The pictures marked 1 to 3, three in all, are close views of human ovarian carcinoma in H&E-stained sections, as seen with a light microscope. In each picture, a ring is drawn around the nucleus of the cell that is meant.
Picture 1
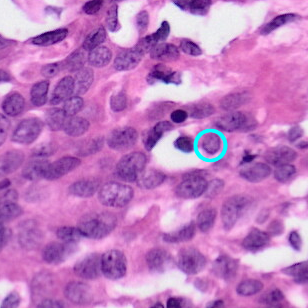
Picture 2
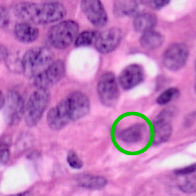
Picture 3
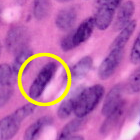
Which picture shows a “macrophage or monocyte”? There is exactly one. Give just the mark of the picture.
1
